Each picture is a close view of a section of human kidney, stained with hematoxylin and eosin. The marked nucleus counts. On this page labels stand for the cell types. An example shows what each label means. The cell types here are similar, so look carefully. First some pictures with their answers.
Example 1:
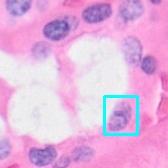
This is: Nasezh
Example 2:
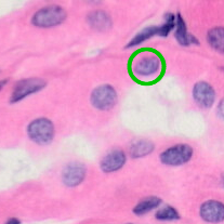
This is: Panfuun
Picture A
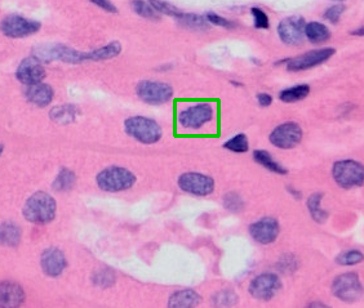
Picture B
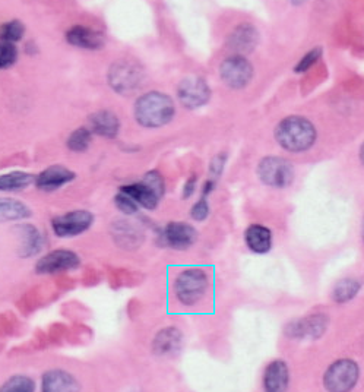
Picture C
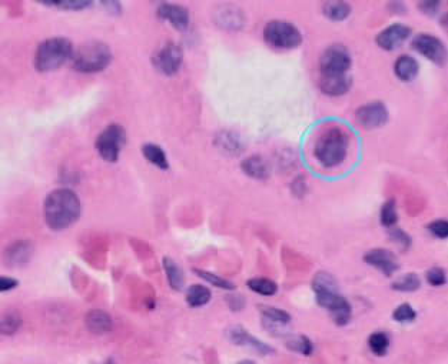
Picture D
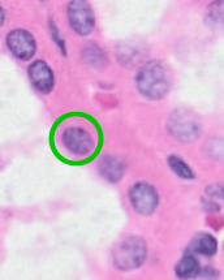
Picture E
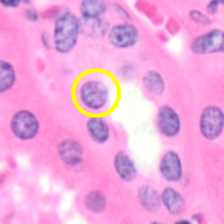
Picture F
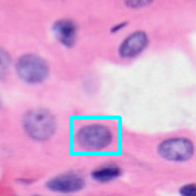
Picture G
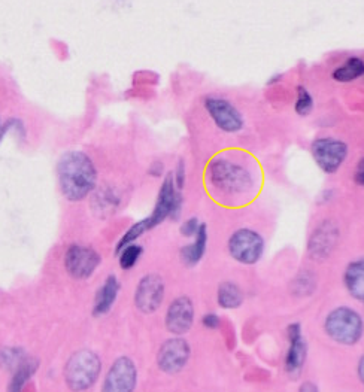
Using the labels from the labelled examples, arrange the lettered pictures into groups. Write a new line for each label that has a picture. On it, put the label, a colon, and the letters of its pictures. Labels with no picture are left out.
Nasezh: E
Panfuun: A, B, C, D, F, G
